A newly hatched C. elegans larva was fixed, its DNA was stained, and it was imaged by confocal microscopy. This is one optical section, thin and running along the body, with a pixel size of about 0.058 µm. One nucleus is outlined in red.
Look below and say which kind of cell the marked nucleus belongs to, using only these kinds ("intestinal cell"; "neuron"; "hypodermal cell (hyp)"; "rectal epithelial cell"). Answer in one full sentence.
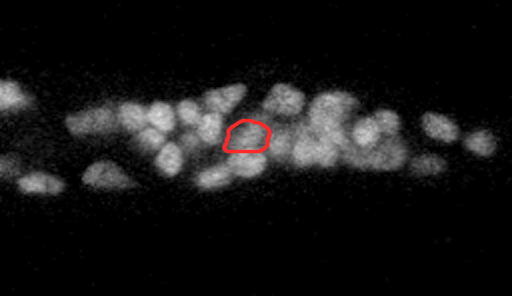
This nucleus is from a rectal epithelial cell.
